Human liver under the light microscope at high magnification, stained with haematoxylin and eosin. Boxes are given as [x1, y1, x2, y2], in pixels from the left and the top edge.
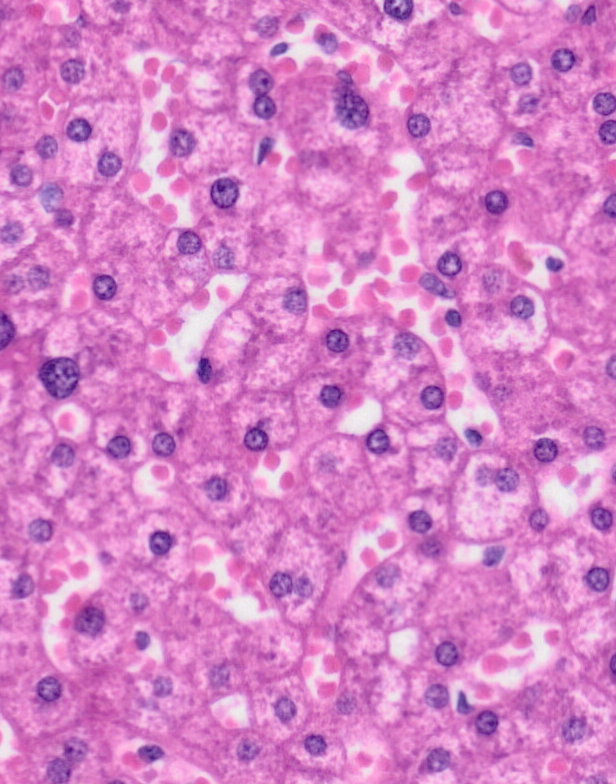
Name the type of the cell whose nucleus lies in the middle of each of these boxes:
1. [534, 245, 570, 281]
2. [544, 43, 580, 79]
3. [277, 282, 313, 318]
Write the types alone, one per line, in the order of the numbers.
lymphocyte
hepatocyte
hepatocyte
